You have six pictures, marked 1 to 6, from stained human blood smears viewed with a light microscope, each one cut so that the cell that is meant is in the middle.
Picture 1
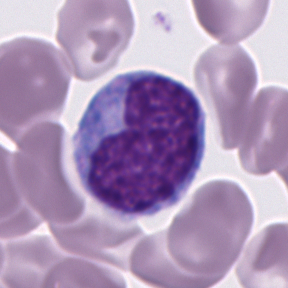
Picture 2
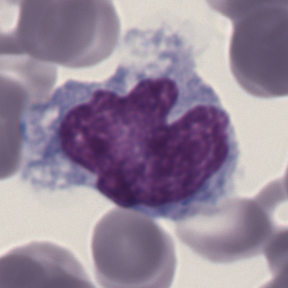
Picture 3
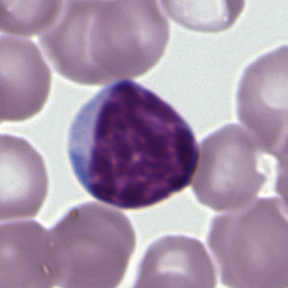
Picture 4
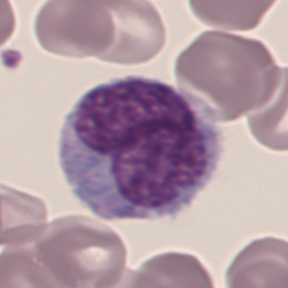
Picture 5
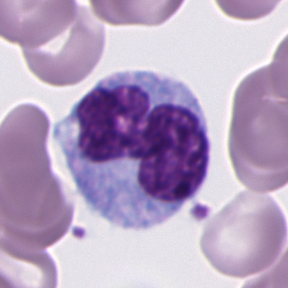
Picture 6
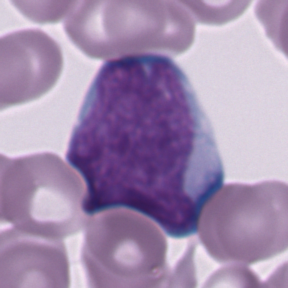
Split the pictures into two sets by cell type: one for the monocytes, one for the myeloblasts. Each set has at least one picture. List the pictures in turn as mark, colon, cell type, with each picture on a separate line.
1: monocyte
2: monocyte
3: myeloblast
4: monocyte
5: monocyte
6: myeloblast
